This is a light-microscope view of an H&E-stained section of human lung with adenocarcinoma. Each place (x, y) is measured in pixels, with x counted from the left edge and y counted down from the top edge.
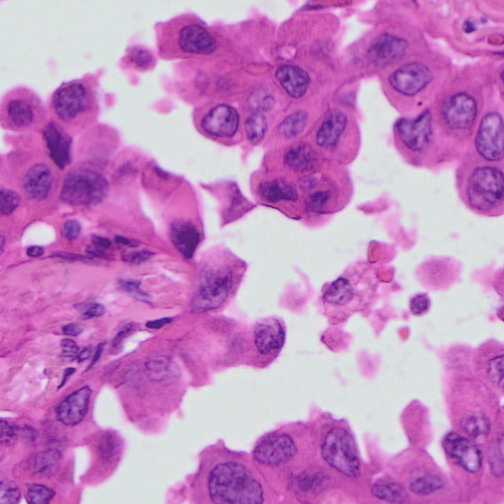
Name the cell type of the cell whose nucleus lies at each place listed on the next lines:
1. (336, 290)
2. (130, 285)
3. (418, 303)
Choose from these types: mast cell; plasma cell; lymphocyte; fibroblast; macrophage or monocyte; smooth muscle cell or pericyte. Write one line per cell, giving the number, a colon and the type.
1: macrophage or monocyte
2: fibroblast
3: lymphocyte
